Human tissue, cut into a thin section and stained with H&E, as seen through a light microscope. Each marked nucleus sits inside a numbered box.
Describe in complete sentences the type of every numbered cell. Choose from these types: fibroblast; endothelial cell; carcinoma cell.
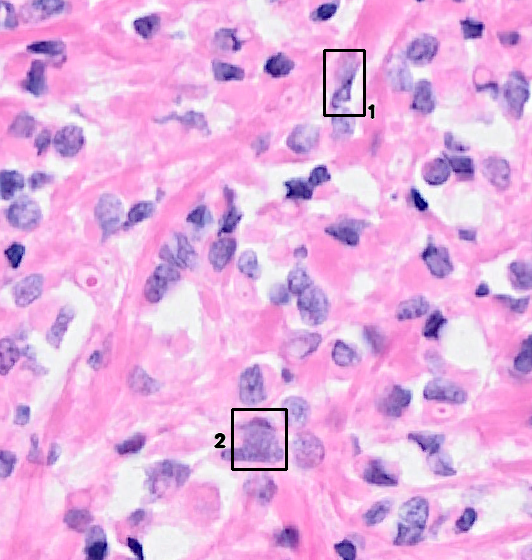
Cell 1 is a fibroblast. Cell 2 is a carcinoma cell.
